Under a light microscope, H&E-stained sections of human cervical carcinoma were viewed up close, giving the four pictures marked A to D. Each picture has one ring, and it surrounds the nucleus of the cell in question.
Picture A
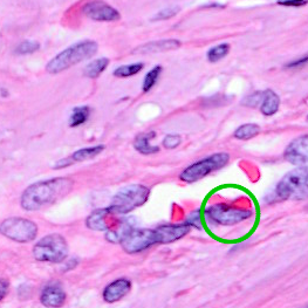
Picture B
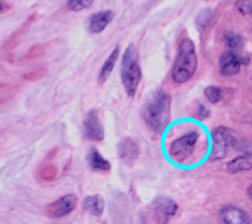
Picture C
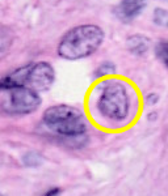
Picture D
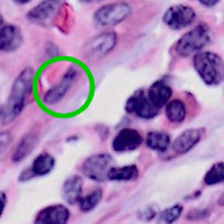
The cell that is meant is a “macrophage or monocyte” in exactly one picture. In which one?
B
